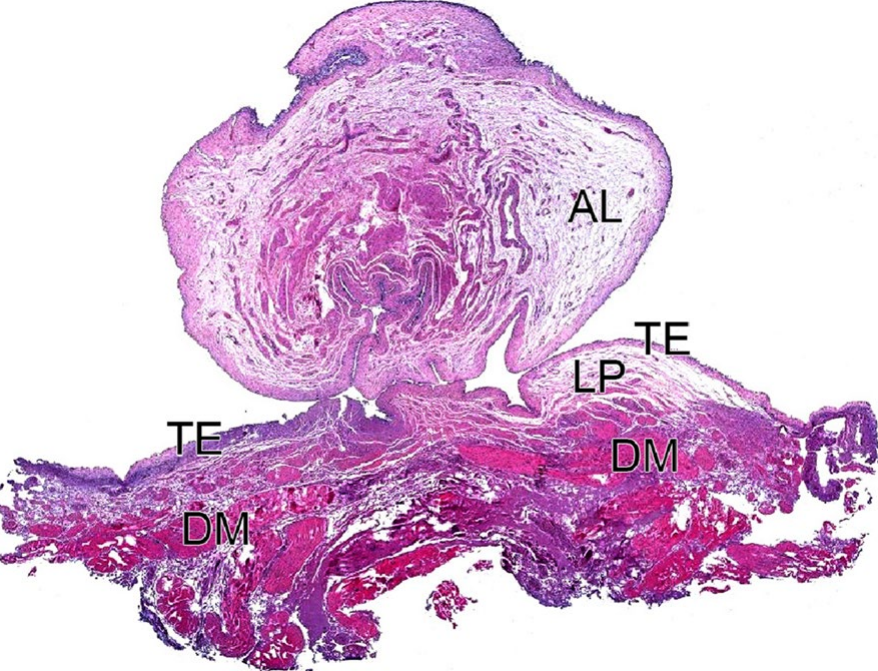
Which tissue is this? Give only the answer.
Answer: Bladder.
